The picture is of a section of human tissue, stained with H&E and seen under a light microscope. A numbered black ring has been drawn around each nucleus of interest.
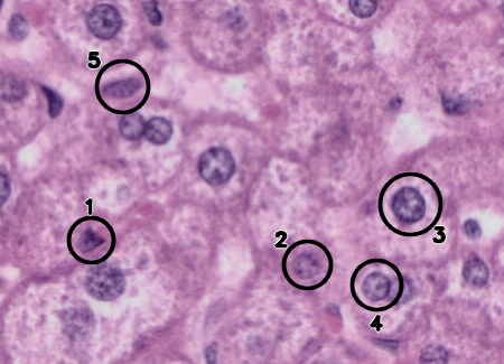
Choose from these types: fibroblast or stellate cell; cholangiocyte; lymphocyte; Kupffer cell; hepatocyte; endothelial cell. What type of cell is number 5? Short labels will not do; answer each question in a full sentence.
Identified by the number 5, the cell is a Kupffer cell.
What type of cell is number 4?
Numbered cell 4 is a hepatocyte in this tissue section.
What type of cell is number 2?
The cell numbered 2 represents a hepatocyte.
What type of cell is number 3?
In this section, number 3 marks a hepatocyte.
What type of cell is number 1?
The one numbered 1 among the marked cells is an endothelial cell.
